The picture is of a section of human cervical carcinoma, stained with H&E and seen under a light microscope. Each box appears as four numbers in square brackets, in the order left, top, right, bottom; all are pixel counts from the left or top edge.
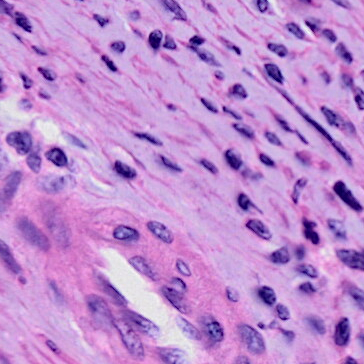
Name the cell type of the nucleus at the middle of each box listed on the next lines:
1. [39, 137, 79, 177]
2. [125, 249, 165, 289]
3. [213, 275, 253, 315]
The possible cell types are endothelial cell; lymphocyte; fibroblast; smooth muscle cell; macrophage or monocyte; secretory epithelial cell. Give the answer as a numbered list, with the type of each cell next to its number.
1. lymphocyte
2. endothelial cell
3. smooth muscle cell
